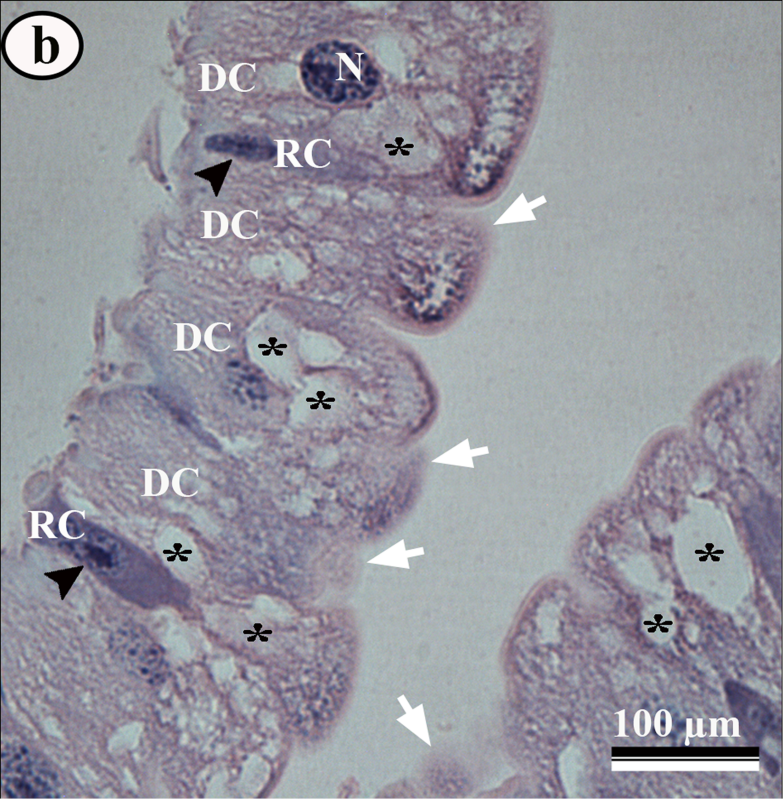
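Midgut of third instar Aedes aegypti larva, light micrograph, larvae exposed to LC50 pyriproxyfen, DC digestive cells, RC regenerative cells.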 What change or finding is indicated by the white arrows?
Disorganized brush border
